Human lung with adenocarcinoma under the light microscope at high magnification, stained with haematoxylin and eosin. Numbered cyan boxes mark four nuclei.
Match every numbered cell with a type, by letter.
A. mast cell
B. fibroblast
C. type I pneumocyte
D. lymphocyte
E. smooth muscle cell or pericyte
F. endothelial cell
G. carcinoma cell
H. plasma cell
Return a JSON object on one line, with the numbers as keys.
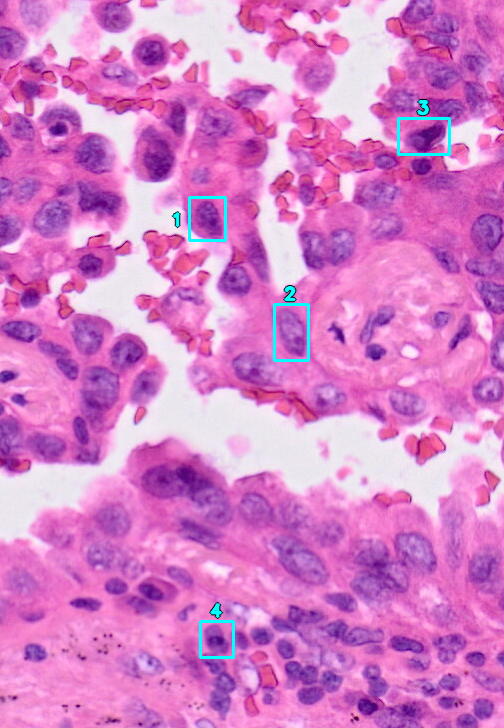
{"1": "G", "2": "G", "3": "G", "4": "D"}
